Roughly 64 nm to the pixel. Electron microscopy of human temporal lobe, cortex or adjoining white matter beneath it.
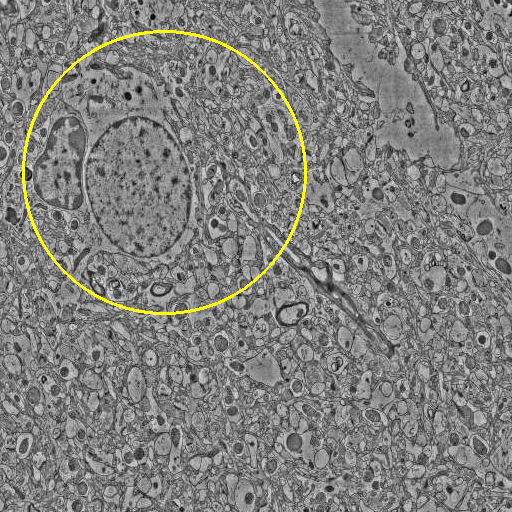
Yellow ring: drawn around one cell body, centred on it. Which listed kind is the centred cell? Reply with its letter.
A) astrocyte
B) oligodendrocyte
A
